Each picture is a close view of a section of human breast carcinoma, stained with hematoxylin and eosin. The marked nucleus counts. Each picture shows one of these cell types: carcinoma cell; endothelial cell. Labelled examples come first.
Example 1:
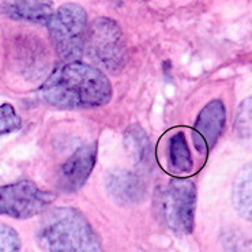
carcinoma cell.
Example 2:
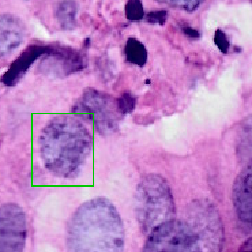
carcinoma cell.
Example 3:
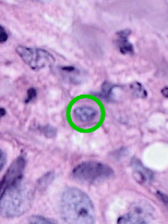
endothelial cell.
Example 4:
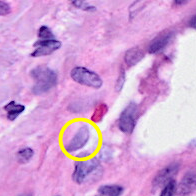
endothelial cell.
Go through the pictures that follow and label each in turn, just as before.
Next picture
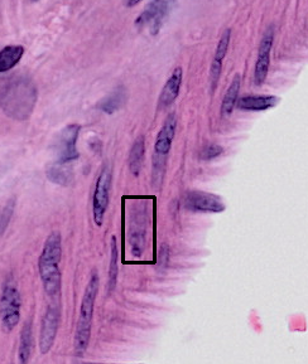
endothelial cell.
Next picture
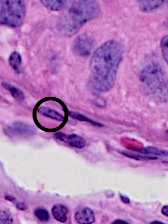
endothelial cell.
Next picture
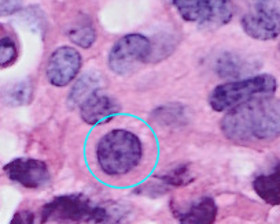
carcinoma cell.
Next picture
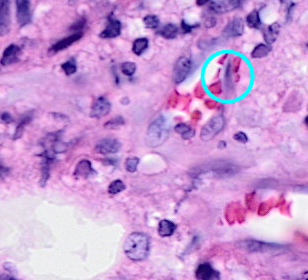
endothelial cell.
